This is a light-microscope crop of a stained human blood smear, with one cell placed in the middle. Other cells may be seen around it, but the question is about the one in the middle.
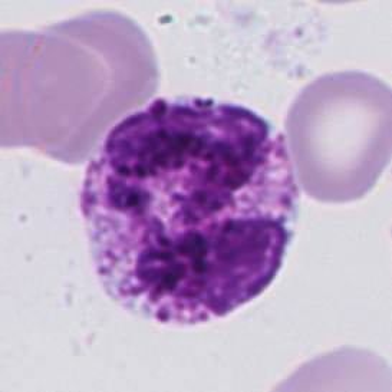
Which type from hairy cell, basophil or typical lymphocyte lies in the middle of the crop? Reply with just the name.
basophil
